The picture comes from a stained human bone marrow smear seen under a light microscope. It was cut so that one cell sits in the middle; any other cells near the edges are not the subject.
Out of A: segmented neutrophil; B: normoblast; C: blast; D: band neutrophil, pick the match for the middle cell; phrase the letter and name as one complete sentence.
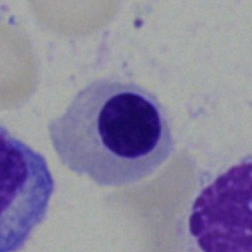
Option B is the keyed answer: the cell in the middle is a normoblast.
